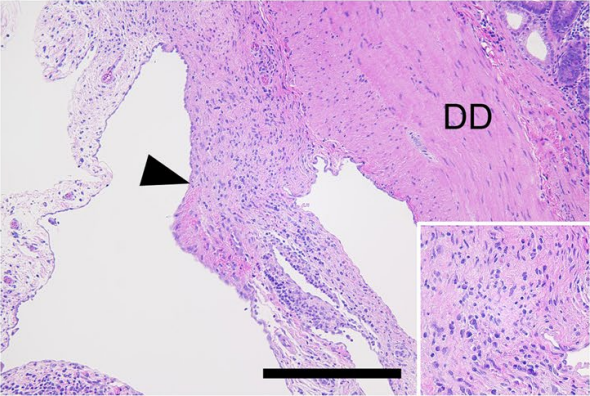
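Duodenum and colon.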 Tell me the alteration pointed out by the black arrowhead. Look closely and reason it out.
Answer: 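The arrowhead points to a thick band of pink fibrous tissue at the serosal surface. The band lies against the smooth muscle wall and contains scattered spindle cells and dark nuclei.
Hence: proliferation of connective tissue.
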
